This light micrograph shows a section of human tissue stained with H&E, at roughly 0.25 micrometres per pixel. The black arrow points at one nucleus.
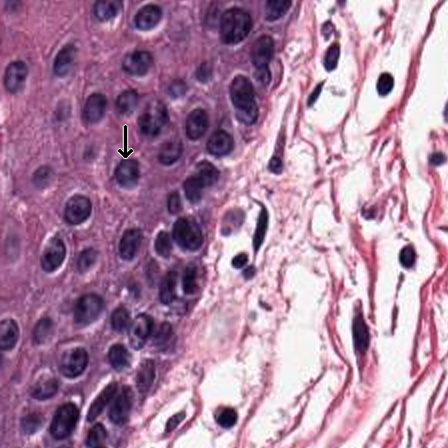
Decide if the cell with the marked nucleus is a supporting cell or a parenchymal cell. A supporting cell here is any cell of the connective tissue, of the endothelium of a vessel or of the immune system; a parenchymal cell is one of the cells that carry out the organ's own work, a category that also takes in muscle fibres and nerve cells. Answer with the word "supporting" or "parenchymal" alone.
parenchymal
